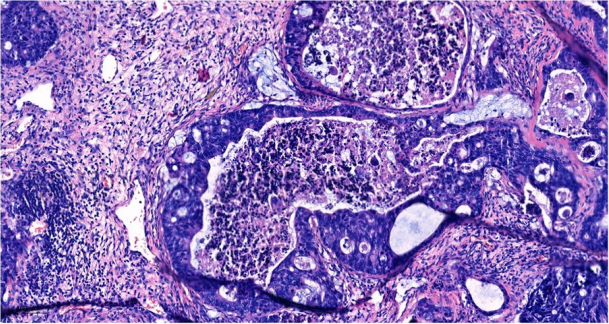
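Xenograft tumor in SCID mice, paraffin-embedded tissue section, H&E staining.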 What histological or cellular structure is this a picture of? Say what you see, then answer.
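Epithelial nests containing several small round lumina. Some small lumina contain pale blue material. On this evidence: cribriform structure.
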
